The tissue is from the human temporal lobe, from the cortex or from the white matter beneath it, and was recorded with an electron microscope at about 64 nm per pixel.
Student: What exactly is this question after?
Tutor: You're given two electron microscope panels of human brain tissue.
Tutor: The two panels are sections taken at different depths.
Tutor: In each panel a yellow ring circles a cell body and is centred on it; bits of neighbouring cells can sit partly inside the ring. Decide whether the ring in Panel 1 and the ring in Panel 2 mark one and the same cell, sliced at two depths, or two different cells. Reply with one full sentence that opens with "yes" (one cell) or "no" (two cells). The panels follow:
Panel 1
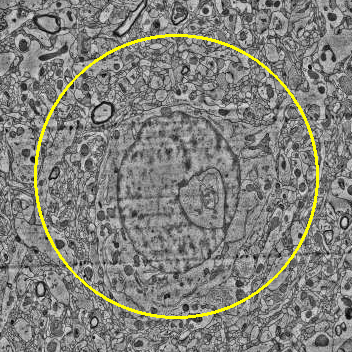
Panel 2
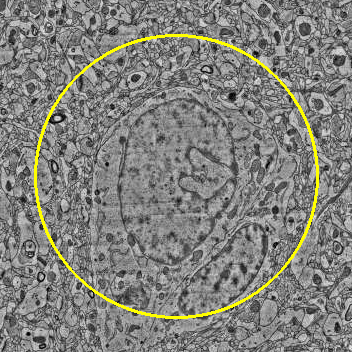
Yes, the two rings belong to one cell, not to two.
